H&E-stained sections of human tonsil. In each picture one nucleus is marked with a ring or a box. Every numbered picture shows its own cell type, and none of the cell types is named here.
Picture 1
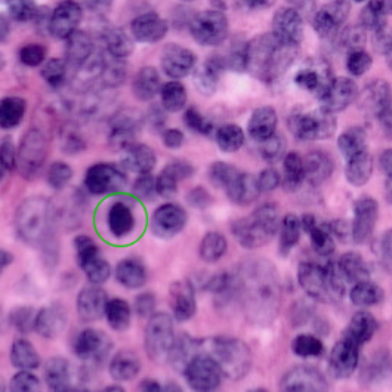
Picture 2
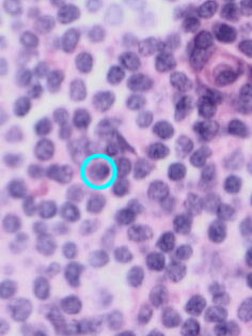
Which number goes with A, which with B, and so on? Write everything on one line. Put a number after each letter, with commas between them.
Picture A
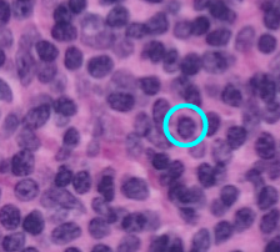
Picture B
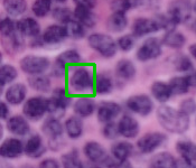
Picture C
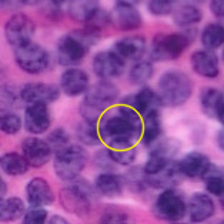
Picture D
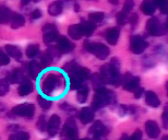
A 2, B 2, C 2, D 2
